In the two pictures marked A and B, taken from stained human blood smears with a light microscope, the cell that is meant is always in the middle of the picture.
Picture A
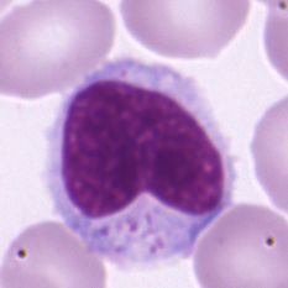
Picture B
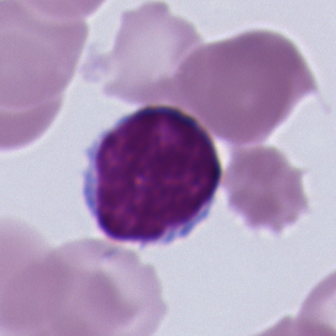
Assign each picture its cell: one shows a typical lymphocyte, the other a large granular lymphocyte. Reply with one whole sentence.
In picture A the cell is a large granular lymphocyte; in picture B, a typical lymphocyte.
